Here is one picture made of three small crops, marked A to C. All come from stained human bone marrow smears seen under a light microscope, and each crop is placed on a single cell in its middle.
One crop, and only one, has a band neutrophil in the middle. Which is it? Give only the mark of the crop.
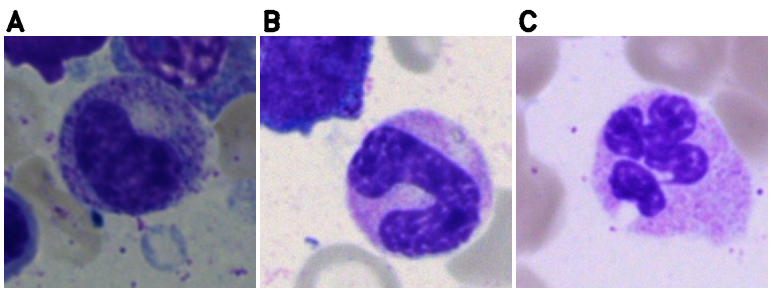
B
